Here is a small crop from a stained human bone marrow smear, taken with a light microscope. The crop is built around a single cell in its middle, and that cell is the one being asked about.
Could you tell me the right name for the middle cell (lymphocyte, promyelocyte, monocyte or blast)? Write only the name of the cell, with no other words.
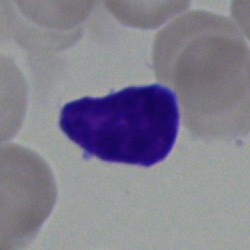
lymphocyte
